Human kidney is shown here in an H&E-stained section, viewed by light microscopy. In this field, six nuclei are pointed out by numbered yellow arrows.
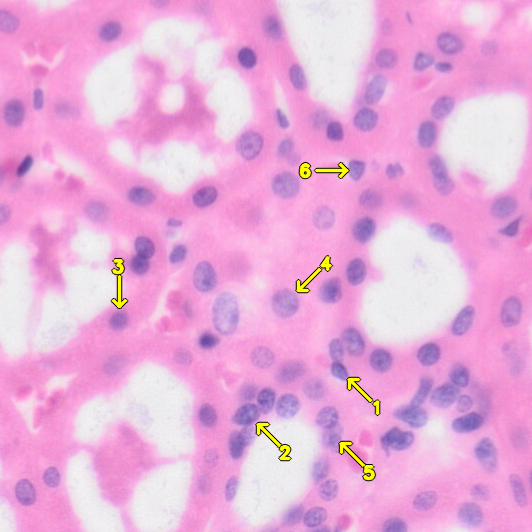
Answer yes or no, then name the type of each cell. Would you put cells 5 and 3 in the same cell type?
No; whereas cell 5 is a collecting duct cell, cell 3 is a proximal tubule cell.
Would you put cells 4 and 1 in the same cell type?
No, cell 4 is a proximal tubule cell whereas cell 1 is an endothelial cell.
